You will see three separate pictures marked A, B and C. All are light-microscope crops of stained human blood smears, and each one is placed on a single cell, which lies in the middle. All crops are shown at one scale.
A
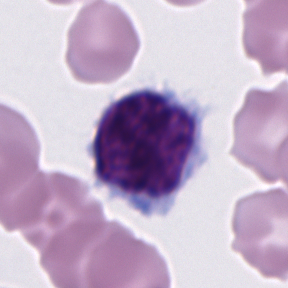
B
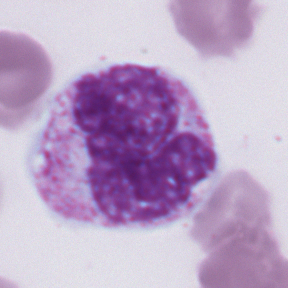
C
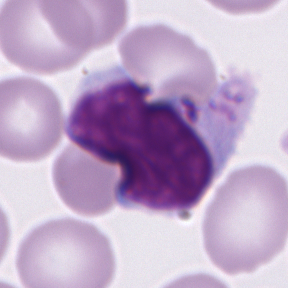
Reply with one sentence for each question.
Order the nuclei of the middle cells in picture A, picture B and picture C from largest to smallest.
Going down, they run B, C, A.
